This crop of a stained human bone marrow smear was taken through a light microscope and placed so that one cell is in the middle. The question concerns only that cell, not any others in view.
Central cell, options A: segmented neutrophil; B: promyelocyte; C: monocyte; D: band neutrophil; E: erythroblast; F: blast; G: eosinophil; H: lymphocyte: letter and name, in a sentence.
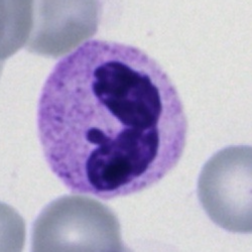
That middle cell is a segmented neutrophil, and option A is therefore correct.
